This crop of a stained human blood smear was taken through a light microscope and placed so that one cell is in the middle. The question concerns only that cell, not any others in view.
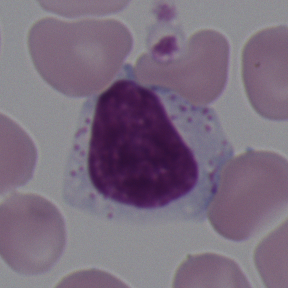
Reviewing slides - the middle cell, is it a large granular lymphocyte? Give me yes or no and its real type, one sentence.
Yes, the central element of the crop is a large granular lymphocyte.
